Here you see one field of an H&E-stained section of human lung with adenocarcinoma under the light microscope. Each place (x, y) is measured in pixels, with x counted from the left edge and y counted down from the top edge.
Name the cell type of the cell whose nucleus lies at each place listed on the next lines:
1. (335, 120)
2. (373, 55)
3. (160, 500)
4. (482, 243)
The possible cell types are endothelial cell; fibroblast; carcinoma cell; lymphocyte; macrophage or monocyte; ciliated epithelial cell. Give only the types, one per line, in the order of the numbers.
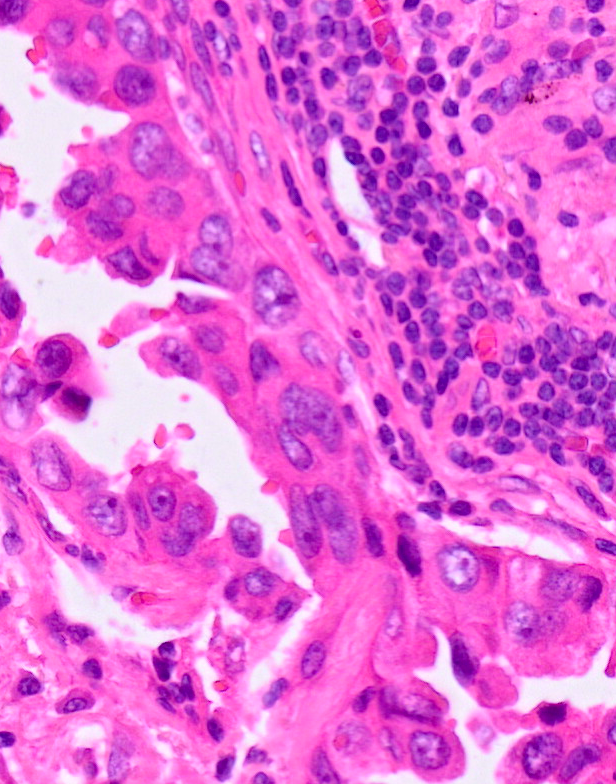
lymphocyte
lymphocyte
carcinoma cell
lymphocyte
